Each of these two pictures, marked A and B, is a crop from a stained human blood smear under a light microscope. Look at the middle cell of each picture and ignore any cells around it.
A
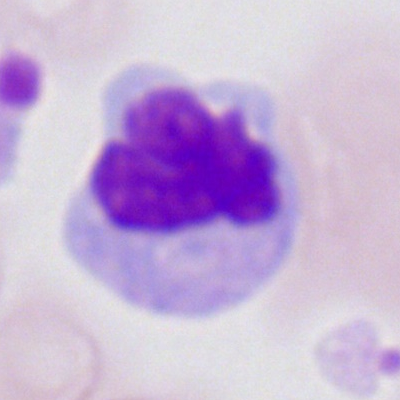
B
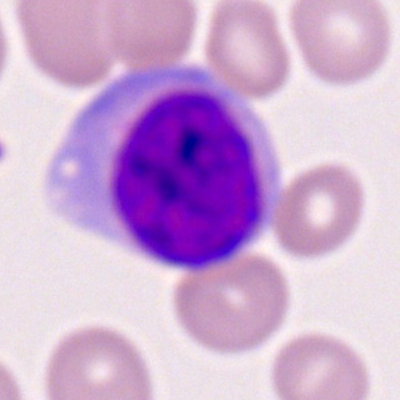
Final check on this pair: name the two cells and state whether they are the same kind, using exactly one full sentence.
No, a monocyte and a lymphocyte are found in crop A and crop B, respectively.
